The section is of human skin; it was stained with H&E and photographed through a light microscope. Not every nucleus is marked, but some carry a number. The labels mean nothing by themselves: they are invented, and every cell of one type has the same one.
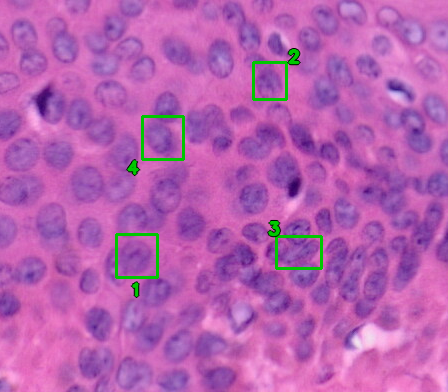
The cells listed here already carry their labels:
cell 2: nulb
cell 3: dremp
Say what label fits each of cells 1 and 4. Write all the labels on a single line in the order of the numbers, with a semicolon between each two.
nulb; nulb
